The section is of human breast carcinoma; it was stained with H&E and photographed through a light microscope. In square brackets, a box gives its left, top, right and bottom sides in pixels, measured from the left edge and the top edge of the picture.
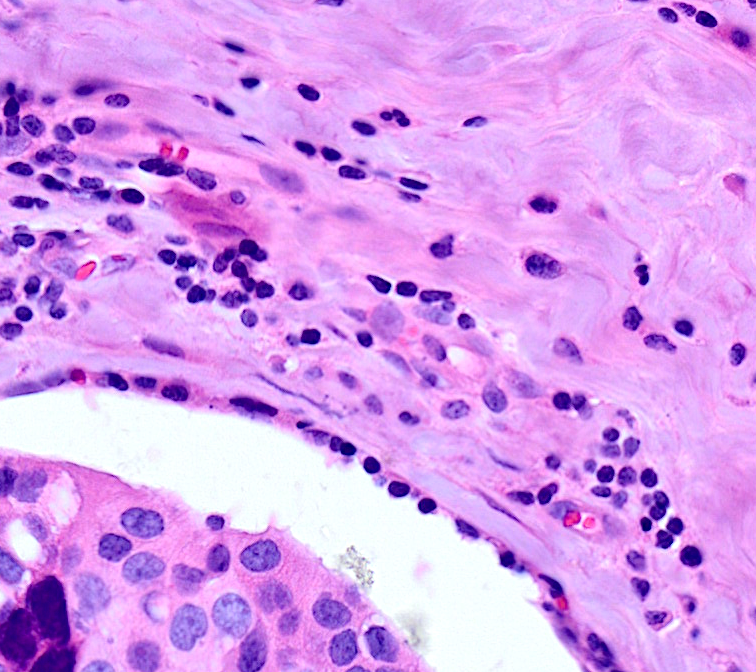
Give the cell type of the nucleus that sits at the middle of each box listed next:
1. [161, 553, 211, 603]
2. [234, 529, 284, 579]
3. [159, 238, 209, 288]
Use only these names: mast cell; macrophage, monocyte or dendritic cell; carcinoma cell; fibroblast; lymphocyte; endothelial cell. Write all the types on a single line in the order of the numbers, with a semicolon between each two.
carcinoma cell; carcinoma cell; lymphocyte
